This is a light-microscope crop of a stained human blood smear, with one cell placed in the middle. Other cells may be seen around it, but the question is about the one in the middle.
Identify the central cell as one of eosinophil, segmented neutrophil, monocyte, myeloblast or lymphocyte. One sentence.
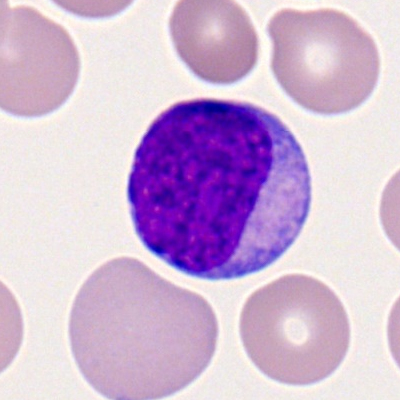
Located at the centre of the crop is a myeloblast.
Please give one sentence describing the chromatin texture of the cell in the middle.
One feature to record is coarsely clumped chromatin.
